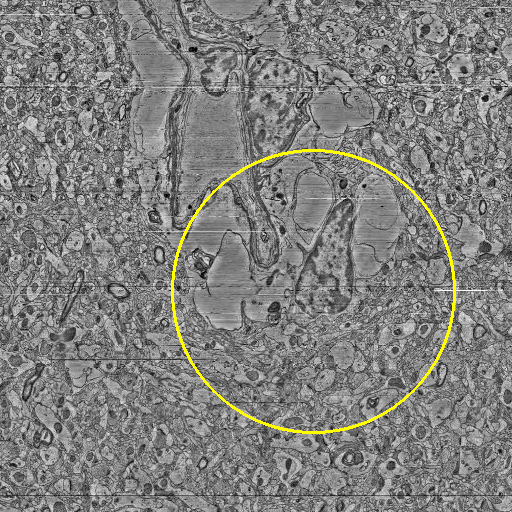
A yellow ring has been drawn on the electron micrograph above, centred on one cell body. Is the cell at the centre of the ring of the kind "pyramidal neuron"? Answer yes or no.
no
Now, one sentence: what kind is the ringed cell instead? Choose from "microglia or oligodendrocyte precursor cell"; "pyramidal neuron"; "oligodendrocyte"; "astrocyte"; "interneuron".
The answer is that the ringed cell is a microglial cell or oligodendrocyte precursor cell.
